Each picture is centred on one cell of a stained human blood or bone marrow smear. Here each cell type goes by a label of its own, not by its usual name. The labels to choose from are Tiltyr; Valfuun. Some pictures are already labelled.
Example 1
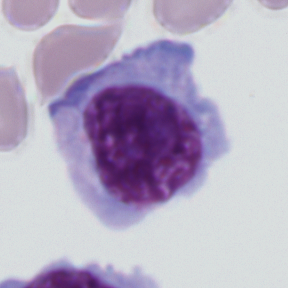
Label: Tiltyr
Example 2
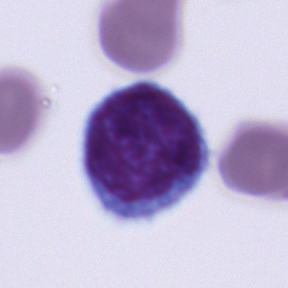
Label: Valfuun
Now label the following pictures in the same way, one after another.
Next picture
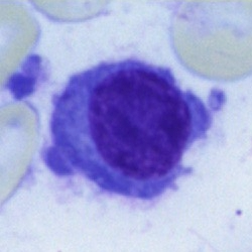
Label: Tiltyr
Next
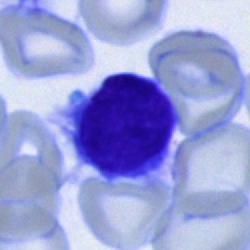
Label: Valfuun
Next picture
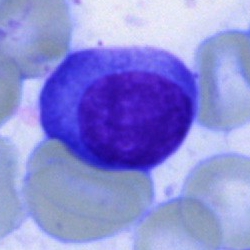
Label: Tiltyr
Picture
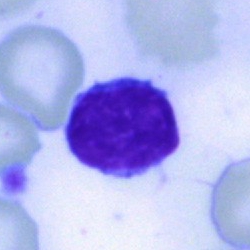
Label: Valfuun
